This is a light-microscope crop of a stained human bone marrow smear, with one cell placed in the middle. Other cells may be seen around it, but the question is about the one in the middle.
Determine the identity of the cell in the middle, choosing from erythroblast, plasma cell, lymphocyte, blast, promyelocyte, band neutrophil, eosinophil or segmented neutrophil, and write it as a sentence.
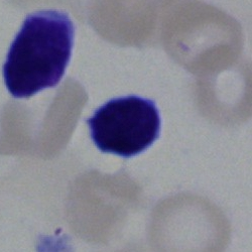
The identification for the central cell is a lymphocyte.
